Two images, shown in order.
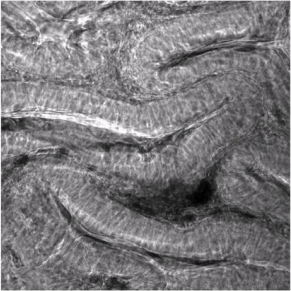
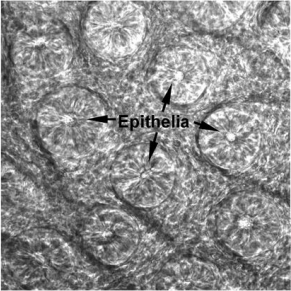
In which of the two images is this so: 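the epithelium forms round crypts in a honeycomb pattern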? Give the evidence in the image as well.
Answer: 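First image: epithelium runs in long winding bands without round units. Second image: round rings of epithelium around small lumens lie side by side in a regular pattern.
Conclusion: the second image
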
